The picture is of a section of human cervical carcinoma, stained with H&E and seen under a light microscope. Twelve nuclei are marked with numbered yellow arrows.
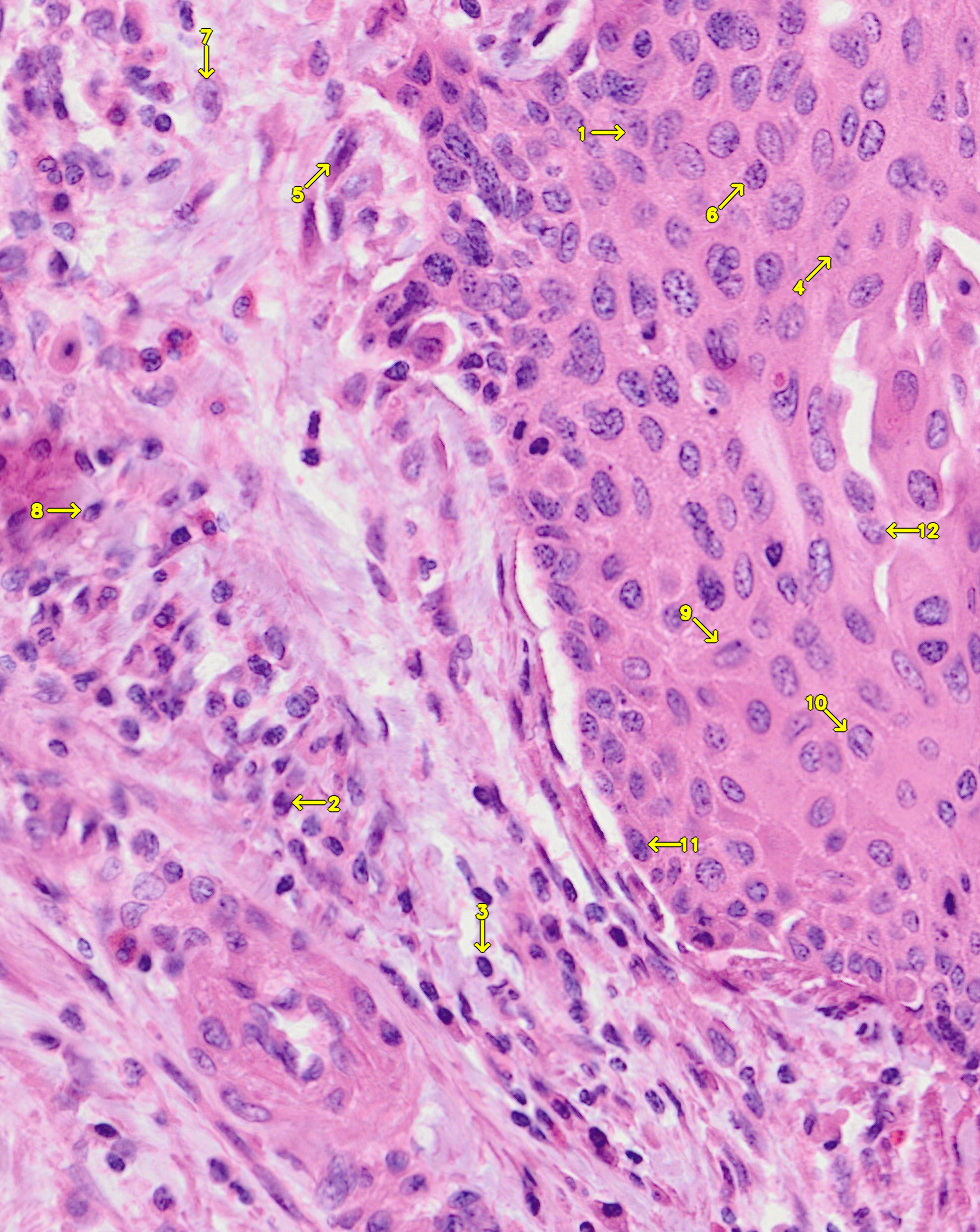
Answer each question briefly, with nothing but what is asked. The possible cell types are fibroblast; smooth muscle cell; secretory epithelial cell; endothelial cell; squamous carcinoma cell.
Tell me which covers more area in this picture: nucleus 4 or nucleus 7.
7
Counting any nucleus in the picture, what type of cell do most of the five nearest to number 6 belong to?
squamous carcinoma cell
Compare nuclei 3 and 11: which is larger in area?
11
